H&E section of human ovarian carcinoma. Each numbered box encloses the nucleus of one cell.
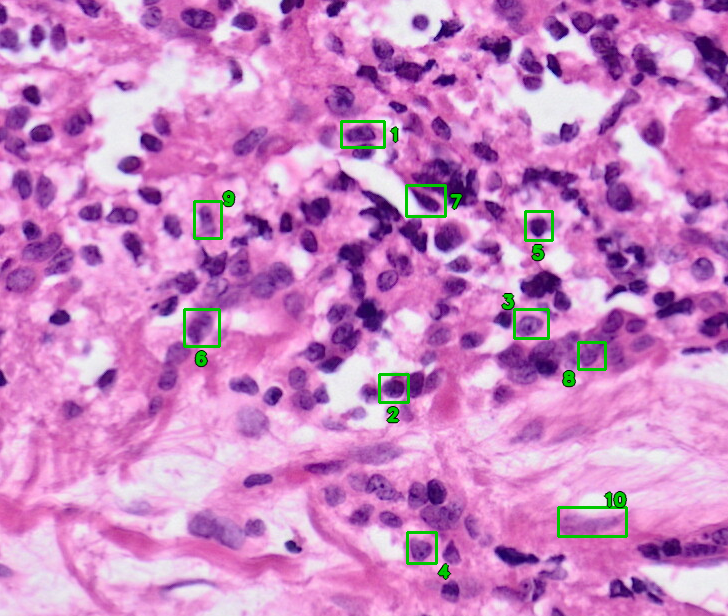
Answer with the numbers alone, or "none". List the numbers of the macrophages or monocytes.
1, 3, 4, 9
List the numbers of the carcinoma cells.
2, 5, 6, 7, 8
